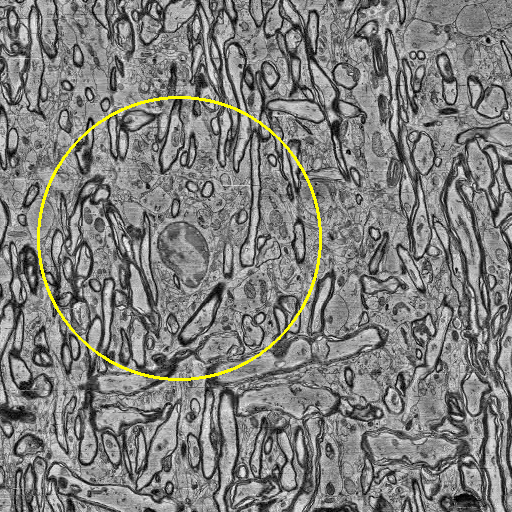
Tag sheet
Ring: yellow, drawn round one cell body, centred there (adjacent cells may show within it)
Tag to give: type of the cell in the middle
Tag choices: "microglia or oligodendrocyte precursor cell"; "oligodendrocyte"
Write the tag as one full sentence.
I tag the cell centred in the yellow ring as a microglial cell or oligodendrocyte precursor cell in this picture.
